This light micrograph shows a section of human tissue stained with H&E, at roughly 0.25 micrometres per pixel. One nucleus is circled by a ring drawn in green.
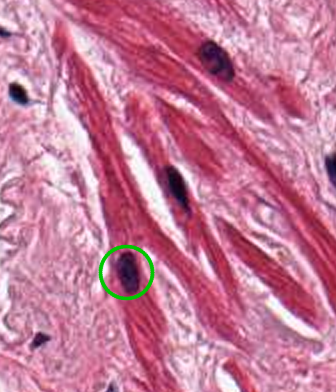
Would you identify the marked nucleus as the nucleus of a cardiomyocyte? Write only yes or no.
yes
